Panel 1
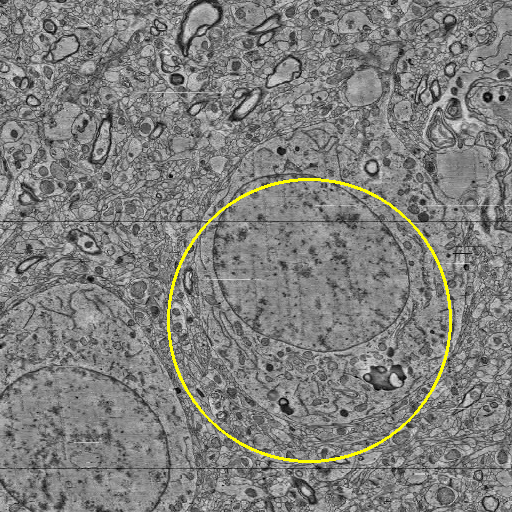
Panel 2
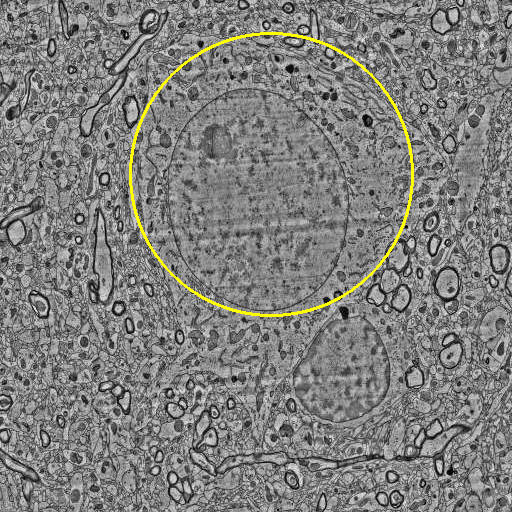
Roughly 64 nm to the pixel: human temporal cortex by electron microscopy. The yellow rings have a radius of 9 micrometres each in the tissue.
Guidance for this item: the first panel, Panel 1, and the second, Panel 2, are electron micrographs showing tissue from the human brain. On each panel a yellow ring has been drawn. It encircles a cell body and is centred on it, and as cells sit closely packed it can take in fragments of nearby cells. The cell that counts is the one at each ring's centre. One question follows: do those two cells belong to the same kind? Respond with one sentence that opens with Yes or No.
Yes, the cells at the ring centres in Panel 1 and Panel 2 are of one kind.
